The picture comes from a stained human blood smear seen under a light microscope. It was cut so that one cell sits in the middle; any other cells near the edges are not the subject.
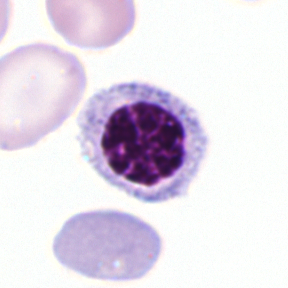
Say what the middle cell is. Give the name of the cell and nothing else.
normoblast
